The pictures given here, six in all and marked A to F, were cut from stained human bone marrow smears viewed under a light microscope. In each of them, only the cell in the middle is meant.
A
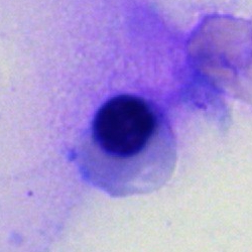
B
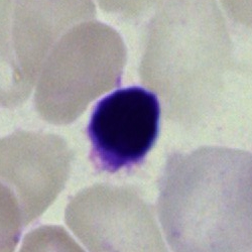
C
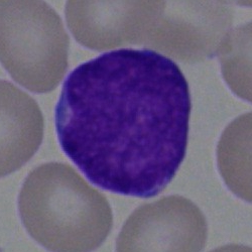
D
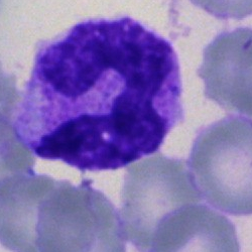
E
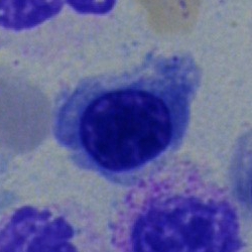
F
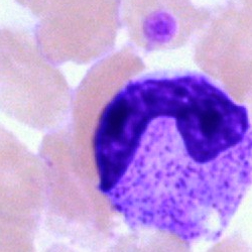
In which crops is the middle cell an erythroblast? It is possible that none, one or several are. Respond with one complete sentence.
The central cells found in crops A and E are erythroblasts.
